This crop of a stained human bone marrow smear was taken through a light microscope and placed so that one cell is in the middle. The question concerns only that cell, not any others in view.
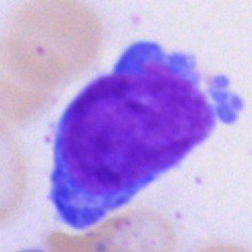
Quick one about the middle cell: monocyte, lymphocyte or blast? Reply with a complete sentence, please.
What sits at the centre of this crop is a blast.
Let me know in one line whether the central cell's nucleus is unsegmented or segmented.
What stands out is a nucleus forming one compact round, oval or kidney-shaped mass.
